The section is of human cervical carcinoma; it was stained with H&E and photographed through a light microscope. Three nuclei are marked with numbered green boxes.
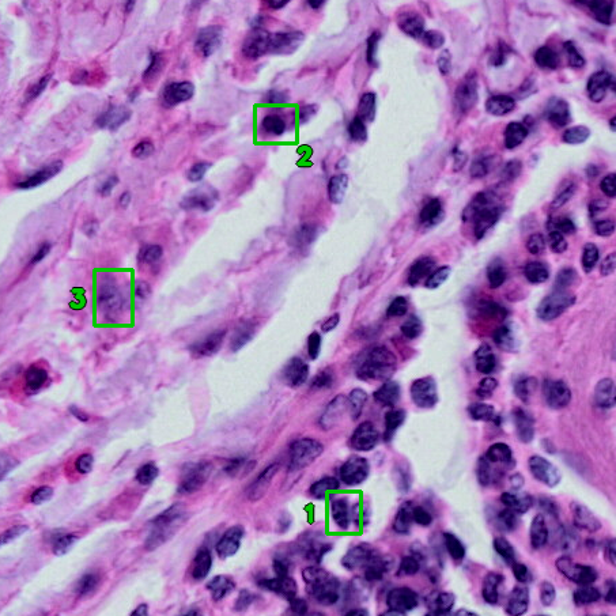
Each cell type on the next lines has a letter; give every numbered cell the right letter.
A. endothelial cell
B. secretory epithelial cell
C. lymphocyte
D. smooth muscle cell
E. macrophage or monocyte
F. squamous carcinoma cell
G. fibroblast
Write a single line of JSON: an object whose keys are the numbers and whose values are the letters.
{"1": "C", "2": "C", "3": "A"}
